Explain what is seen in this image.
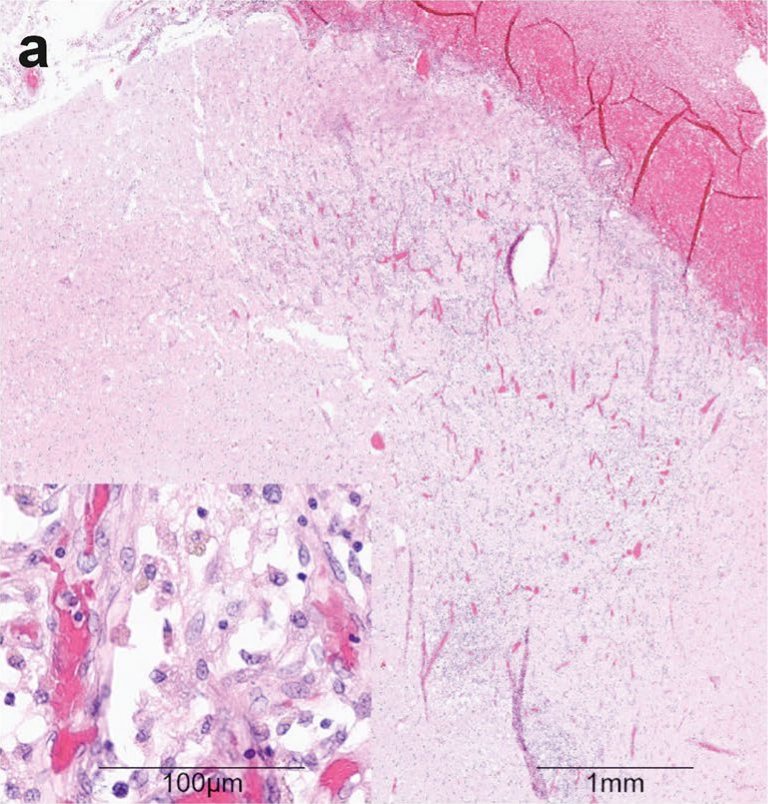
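Cerebral cortex with a wedge-shaped, pale and loosened area whose broad base lies at the surface beneath a thick, bright red, cracked blood clot at the upper right. Within the wedge, numerous small, newly formed red vessels run through a rarefied, vacuolated tissue. At higher magnification the area is crowded with rounded cells with abundant pale, foamy cytoplasm and round to oval nuclei, some holding brownish granules, between capillaries filled with red blood cells. No neuronal cell bodies are left in this field, in keeping with an infarct being cleared.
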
